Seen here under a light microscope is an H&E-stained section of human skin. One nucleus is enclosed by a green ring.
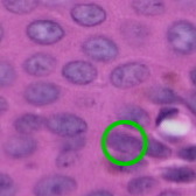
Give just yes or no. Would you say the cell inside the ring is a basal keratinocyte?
yes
